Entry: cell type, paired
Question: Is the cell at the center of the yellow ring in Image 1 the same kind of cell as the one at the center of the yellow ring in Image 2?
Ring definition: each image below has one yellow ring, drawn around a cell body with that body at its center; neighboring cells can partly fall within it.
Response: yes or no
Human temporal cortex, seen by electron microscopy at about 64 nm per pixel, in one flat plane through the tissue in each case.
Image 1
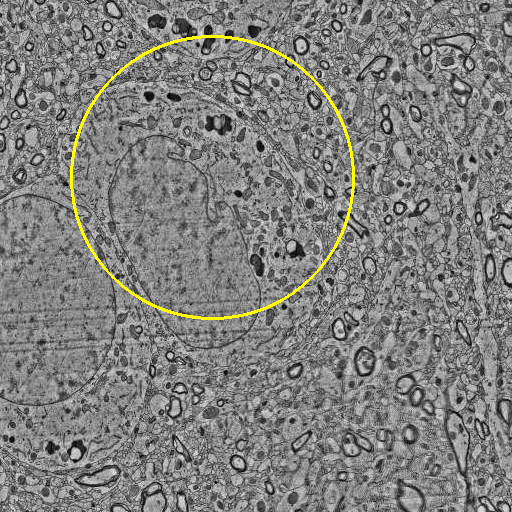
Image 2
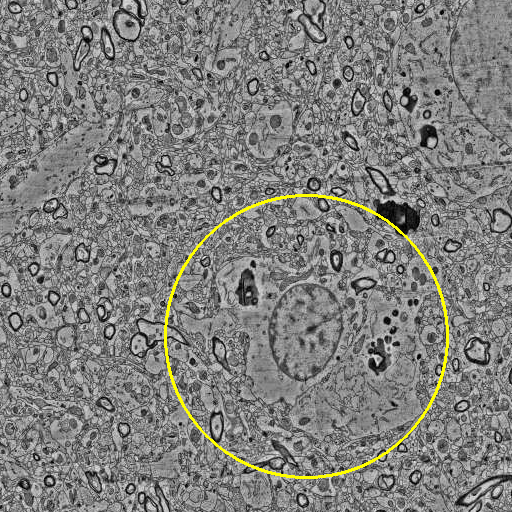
no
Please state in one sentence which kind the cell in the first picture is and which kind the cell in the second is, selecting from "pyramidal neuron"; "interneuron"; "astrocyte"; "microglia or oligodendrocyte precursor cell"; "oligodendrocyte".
The first ringed cell is a pyramidal neuron, the second ringed cell an astrocyte.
